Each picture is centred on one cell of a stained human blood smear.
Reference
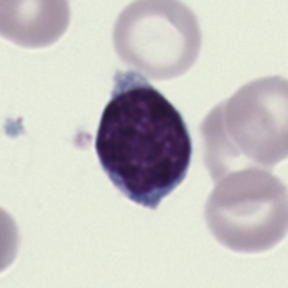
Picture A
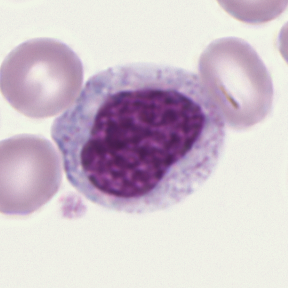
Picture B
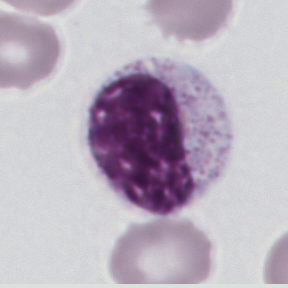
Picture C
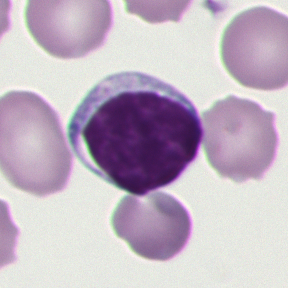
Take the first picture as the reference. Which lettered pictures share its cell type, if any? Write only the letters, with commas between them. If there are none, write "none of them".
C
